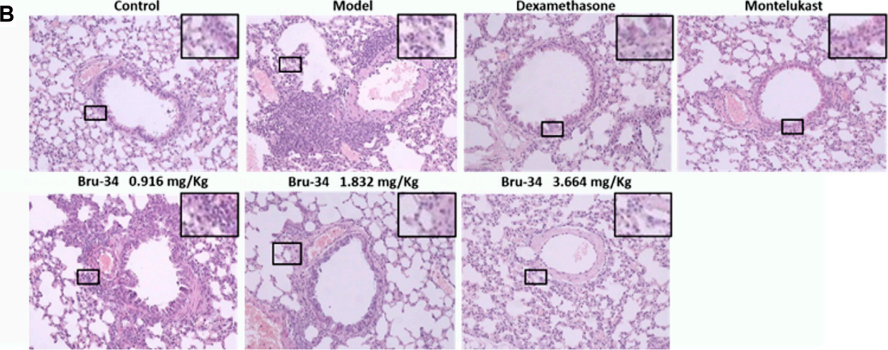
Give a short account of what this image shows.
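Several fields of lung tissue are stained pink and purple. In some fields the walls of the airway and vessel are thin and neatly outlined. In others they are cuffed by dense sheets of small, dark purple, round nuclei that spill into the neighbouring alveolar walls and thicken them. These crowded cuffs are infiltrates of inflammatory cells gathered around the bronchi and vessels. Other fields show only scattered cells in these places.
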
